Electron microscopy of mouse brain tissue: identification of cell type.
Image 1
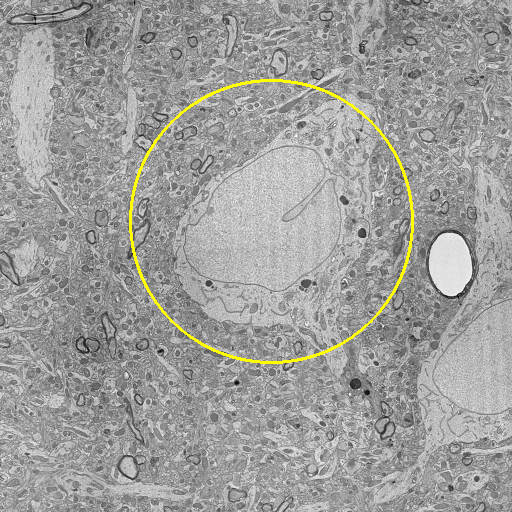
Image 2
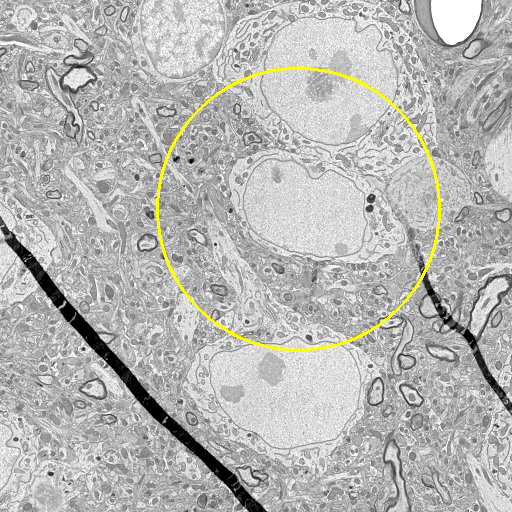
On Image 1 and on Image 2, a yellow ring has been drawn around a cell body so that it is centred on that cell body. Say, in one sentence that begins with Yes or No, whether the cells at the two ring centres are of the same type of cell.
Yes, both cells are the same type of cell.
